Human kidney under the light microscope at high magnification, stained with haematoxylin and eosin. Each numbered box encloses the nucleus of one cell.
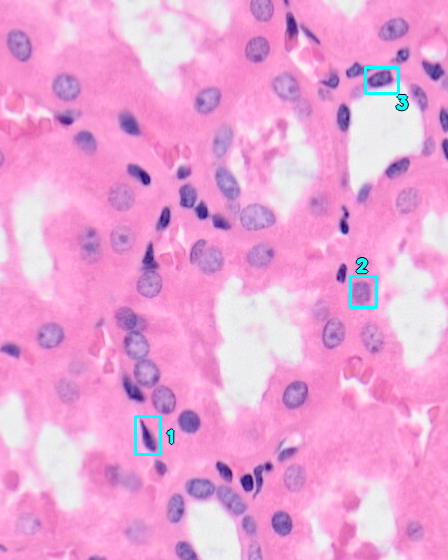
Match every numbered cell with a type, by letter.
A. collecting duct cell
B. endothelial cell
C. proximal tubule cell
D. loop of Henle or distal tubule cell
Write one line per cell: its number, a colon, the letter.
1: B
2: C
3: D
